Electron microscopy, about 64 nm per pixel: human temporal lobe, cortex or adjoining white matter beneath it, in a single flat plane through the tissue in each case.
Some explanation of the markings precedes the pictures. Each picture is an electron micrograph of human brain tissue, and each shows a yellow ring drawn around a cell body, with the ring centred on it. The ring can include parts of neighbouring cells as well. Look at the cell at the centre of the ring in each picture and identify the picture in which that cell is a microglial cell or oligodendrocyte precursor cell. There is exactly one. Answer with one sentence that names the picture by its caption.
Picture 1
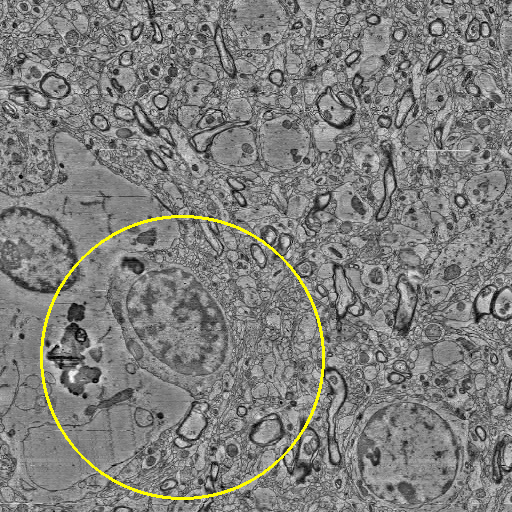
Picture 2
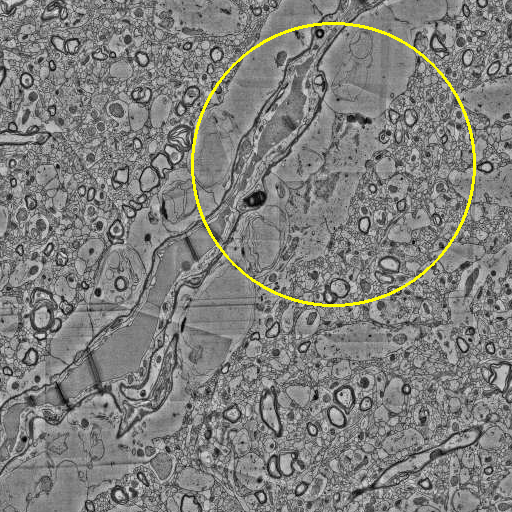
In Picture 2, the cell at the centre of the ring is of that kind.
